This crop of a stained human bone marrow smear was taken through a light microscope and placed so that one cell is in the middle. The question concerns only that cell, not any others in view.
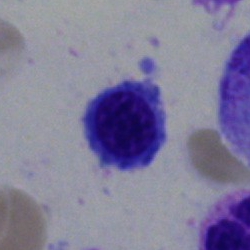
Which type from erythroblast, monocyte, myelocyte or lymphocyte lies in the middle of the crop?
lymphocyte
